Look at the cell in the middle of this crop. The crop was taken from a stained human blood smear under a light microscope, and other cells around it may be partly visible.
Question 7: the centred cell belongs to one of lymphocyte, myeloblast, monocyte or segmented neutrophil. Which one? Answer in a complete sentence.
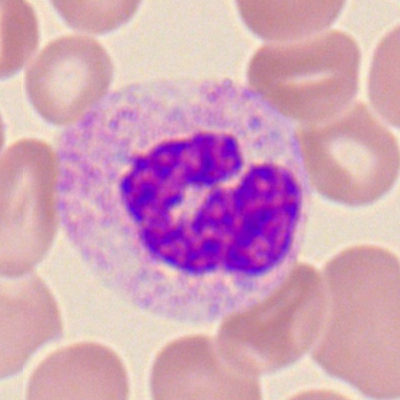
For this crop, the cell in the middle is a segmented neutrophil.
